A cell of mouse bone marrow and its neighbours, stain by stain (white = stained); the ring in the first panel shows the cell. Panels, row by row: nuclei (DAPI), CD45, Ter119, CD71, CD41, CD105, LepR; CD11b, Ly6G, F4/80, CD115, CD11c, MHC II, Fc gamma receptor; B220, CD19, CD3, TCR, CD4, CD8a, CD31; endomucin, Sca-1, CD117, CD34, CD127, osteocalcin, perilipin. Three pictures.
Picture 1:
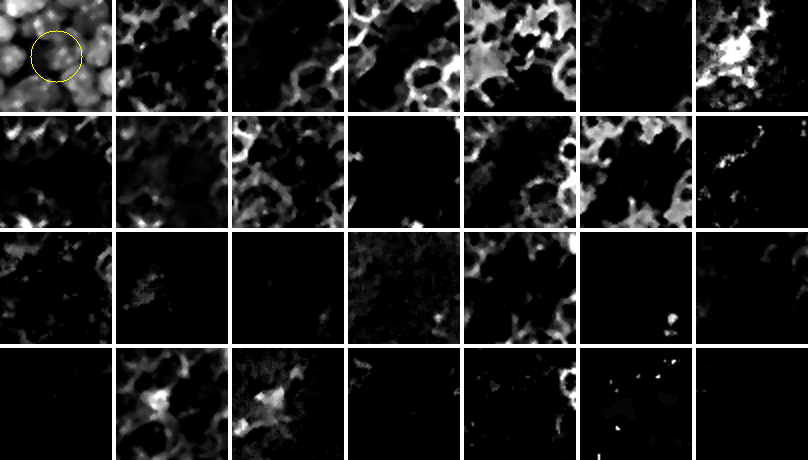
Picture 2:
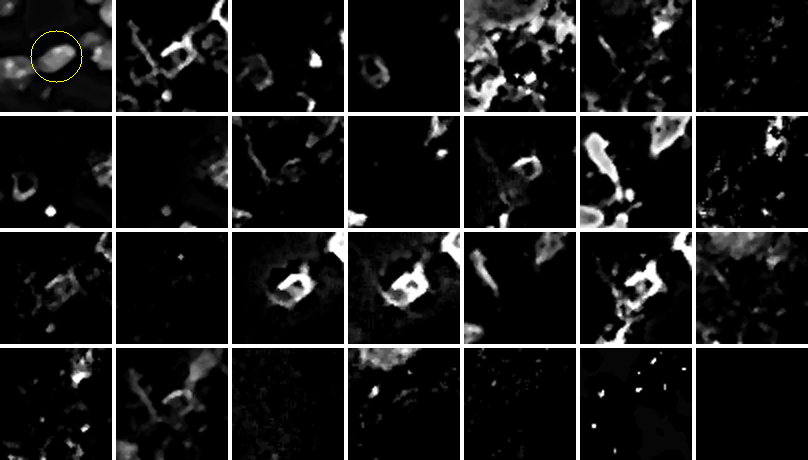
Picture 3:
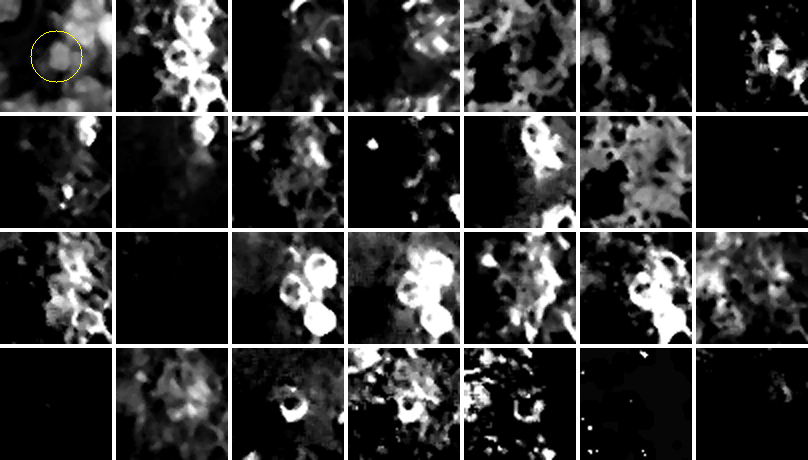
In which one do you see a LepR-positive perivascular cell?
In picture 1.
